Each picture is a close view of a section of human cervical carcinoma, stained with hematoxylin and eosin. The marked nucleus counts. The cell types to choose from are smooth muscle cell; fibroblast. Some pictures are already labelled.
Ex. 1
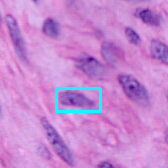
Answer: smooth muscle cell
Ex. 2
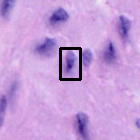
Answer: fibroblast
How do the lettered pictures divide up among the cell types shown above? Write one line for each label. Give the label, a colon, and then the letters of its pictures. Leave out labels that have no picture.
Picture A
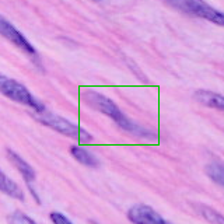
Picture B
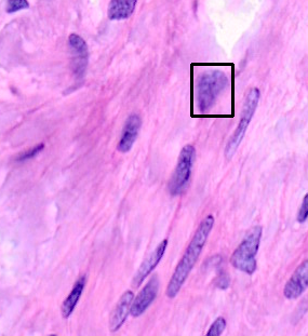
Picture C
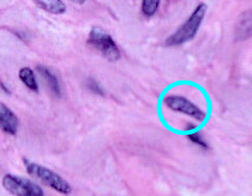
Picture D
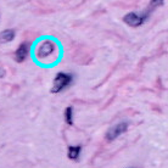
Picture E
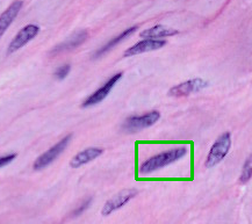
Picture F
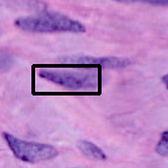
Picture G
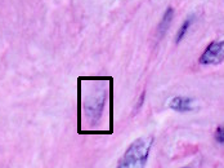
smooth muscle cell: A, D, G
fibroblast: B, C, E, F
